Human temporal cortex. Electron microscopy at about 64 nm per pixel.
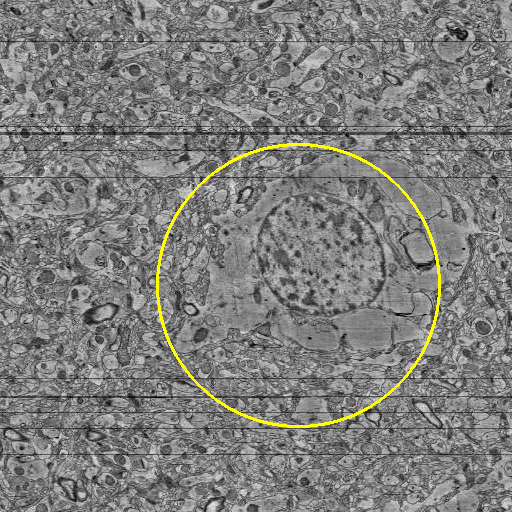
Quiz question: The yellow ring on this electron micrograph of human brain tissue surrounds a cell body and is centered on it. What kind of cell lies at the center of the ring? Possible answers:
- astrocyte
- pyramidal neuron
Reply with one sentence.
The ring's center lies on an astrocyte.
